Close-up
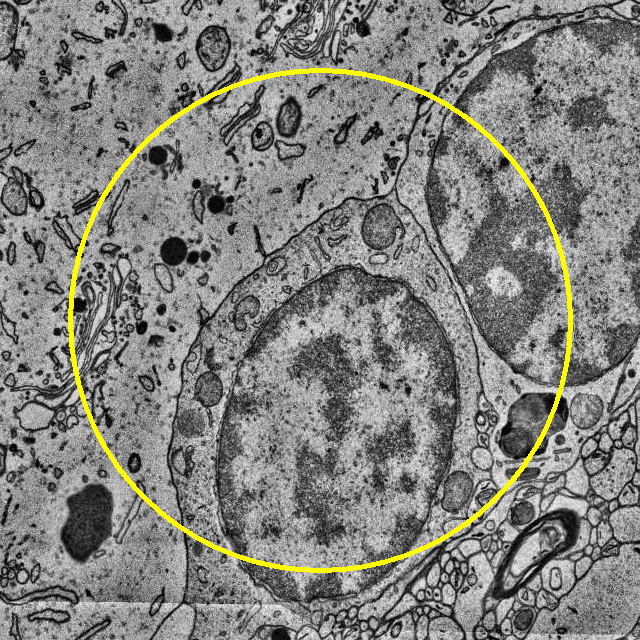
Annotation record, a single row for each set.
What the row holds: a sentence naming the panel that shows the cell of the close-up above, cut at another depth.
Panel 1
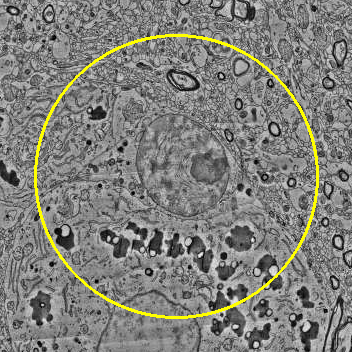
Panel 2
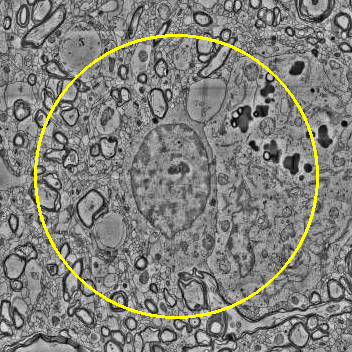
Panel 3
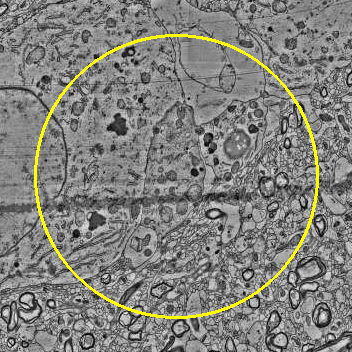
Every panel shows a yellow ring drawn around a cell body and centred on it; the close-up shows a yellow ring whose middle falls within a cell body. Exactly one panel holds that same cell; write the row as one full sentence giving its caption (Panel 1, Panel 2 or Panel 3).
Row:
The higher magnification view shows the cell circled in Panel 3.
